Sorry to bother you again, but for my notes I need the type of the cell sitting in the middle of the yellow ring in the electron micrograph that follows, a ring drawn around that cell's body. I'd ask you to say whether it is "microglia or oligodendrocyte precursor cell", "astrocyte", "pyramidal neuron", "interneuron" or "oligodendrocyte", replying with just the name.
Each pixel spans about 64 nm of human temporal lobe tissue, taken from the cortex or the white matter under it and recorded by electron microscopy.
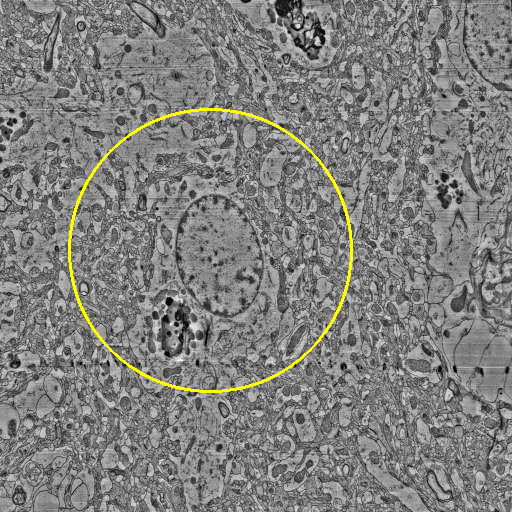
astrocyte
